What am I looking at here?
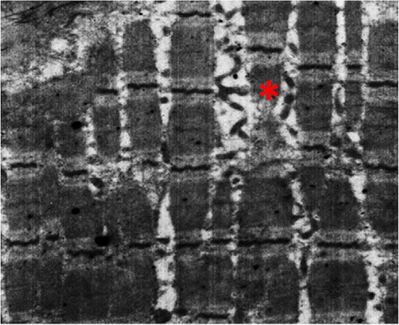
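Longitudinally sectioned skeletal muscle myofibrils fill the field, with repeating sarcomeres marked by dark transverse lines. In places the myofibrils are separated by pale, irregular clefts, and the dark transverse lines are uneven, misaligned between neighbouring myofibrils or fragmented, especially in the middle of the field. Small dark granules are scattered in the spaces between myofibrils. Overall the contractile apparatus is still recognisable but its regular alignment is disturbed, consistent with dystrophic and destructive change and disorganization of the Z-lines.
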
